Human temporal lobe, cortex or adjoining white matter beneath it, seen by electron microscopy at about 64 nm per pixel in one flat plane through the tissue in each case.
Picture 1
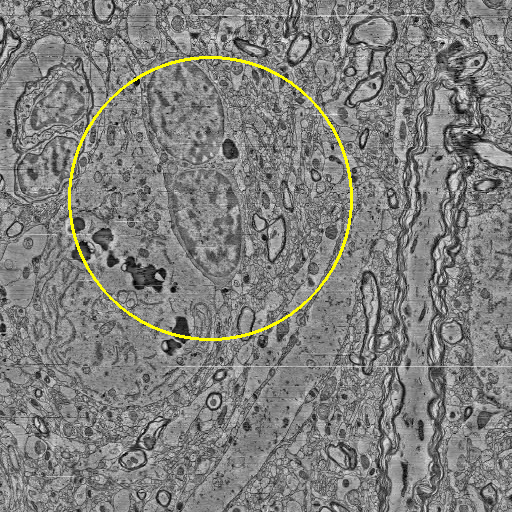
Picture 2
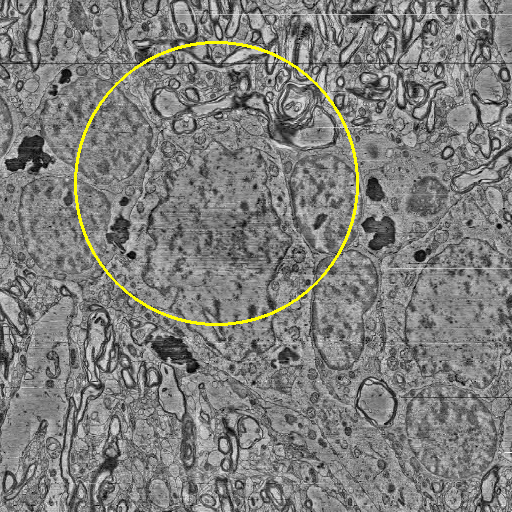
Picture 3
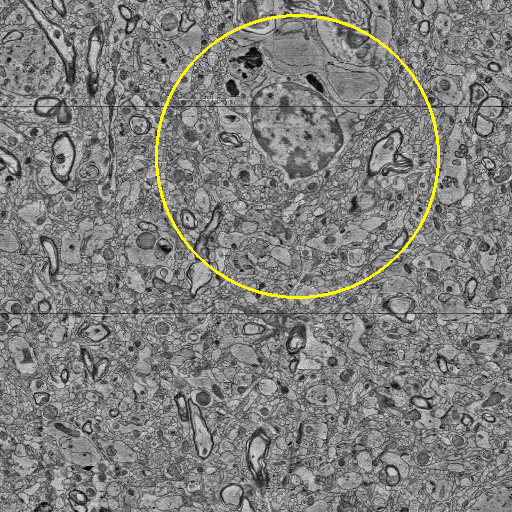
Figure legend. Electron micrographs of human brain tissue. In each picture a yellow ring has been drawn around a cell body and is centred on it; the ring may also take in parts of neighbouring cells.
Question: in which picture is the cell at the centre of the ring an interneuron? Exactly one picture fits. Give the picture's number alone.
2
